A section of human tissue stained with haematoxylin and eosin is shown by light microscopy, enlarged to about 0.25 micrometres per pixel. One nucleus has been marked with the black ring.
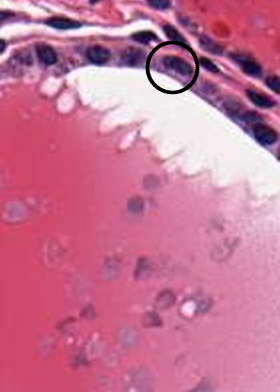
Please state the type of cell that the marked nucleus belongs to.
thyroid follicular cell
